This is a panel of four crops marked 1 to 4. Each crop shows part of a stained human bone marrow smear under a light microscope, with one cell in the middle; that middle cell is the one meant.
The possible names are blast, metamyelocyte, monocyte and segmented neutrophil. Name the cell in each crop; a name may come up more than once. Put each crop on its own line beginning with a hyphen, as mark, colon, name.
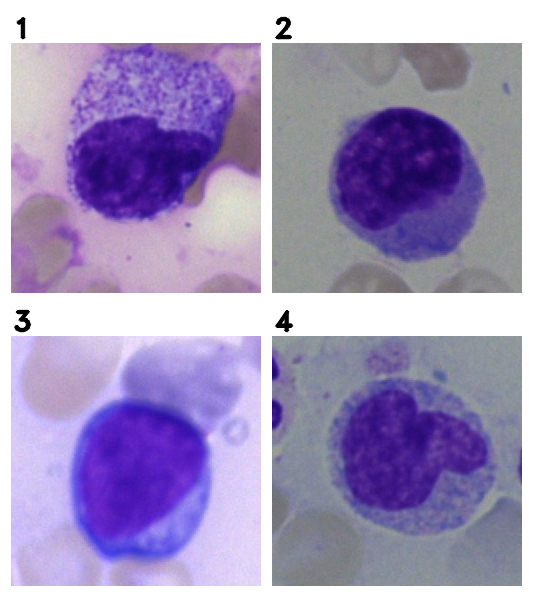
- 1: metamyelocyte
- 2: monocyte
- 3: blast
- 4: monocyte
